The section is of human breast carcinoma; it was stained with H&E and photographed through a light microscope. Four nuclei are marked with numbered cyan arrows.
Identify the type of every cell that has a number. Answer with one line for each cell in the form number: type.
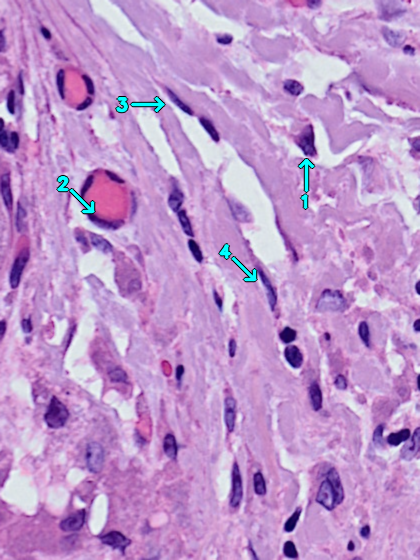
1: fibroblast
2: endothelial cell
3: fibroblast
4: fibroblast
